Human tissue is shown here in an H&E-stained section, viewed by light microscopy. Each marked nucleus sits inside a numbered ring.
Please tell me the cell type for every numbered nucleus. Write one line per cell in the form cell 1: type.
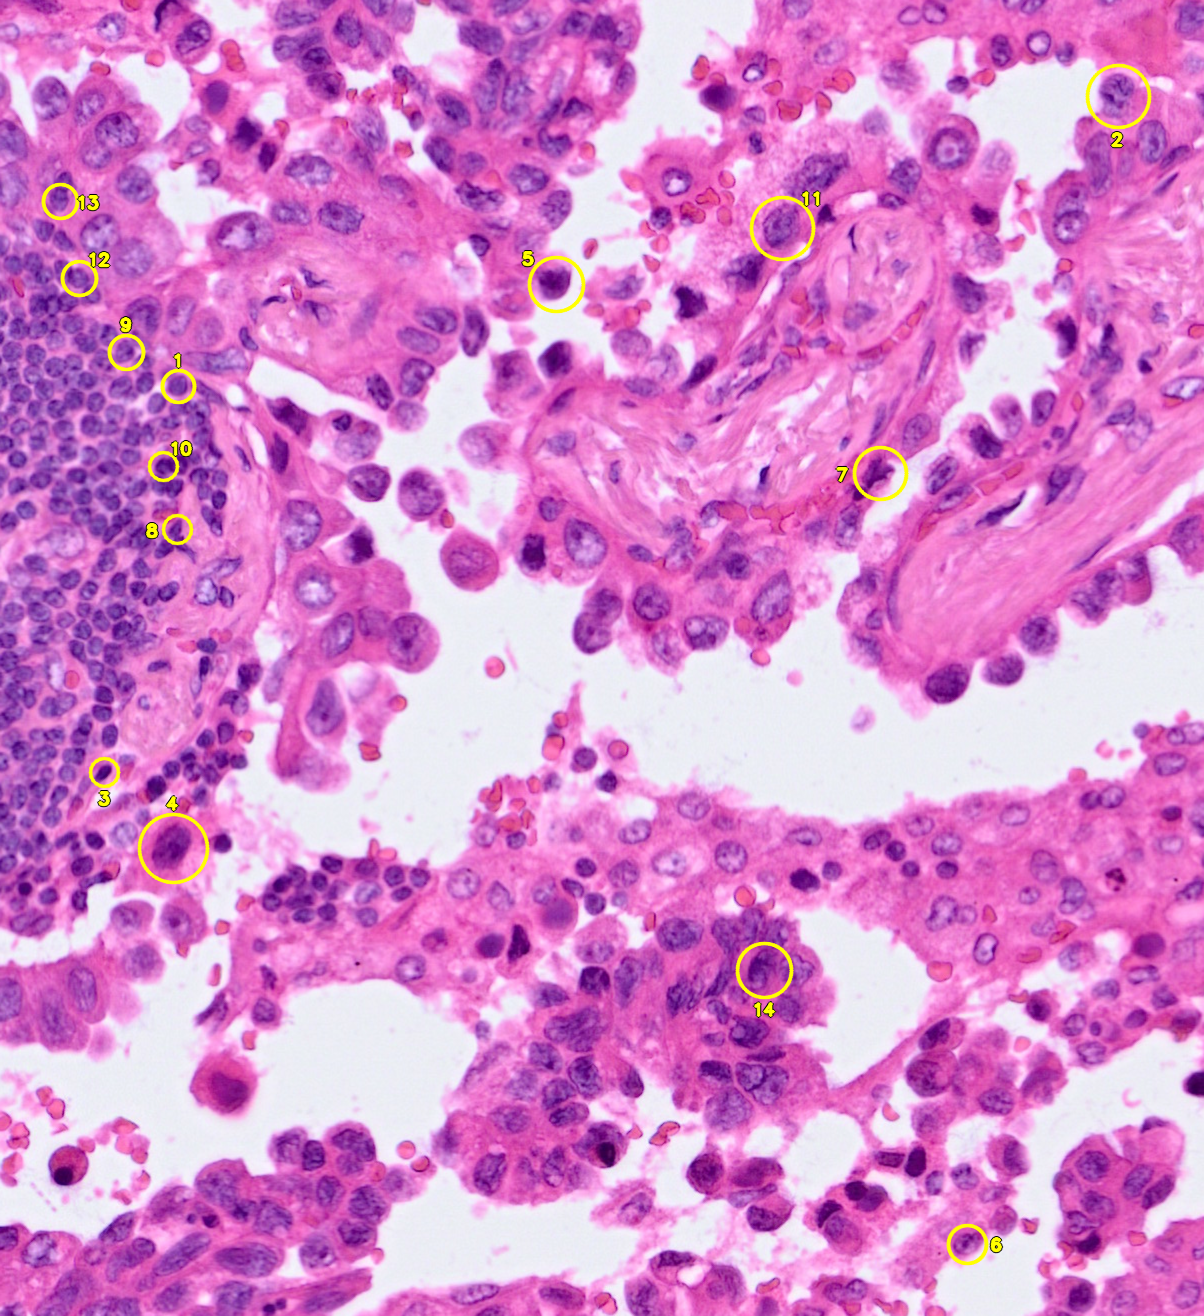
cell 1: lymphocyte
cell 2: carcinoma cell
cell 3: lymphocyte
cell 4: carcinoma cell
cell 5: carcinoma cell
cell 6: macrophage or monocyte
cell 7: carcinoma cell
cell 8: lymphocyte
cell 9: lymphocyte
cell 10: lymphocyte
cell 11: carcinoma cell
cell 12: lymphocyte
cell 13: lymphocyte
cell 14: carcinoma cell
